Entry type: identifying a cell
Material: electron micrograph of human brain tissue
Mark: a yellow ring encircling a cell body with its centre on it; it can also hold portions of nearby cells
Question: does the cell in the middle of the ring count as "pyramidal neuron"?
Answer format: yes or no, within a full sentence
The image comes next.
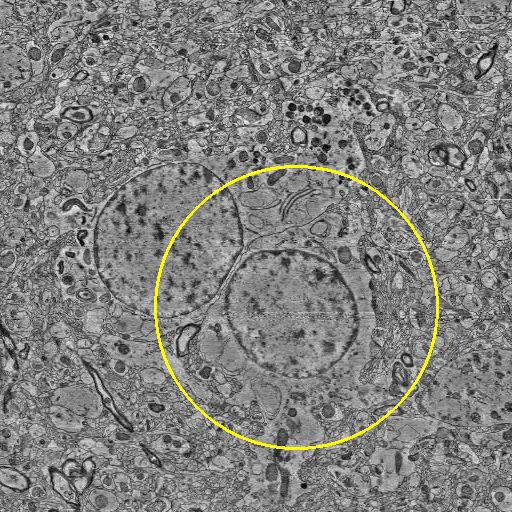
No, in the image, the cell in the middle of the yellow ring counts as a different kind.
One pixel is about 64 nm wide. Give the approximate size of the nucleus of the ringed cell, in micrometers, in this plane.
In this plane the nucleus measures roughly 8 micrometres across.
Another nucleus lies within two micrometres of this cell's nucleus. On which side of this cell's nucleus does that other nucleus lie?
That other nucleus lies to the upper left of it.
